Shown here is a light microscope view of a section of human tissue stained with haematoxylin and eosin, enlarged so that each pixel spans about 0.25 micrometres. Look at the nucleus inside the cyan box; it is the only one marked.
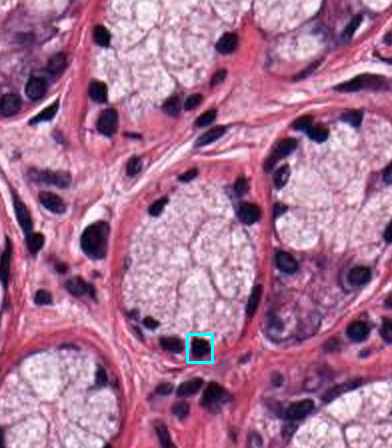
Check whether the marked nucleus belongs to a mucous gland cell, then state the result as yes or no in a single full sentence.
Yes, the marked nucleus is one that belongs to a mucous gland cell.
